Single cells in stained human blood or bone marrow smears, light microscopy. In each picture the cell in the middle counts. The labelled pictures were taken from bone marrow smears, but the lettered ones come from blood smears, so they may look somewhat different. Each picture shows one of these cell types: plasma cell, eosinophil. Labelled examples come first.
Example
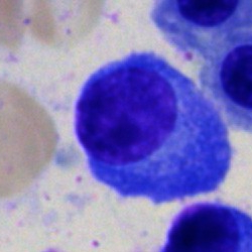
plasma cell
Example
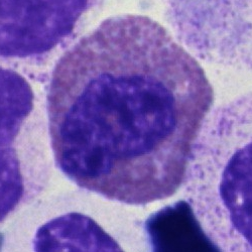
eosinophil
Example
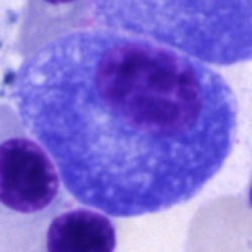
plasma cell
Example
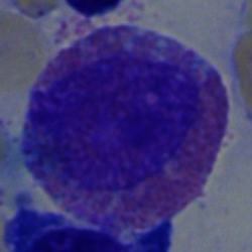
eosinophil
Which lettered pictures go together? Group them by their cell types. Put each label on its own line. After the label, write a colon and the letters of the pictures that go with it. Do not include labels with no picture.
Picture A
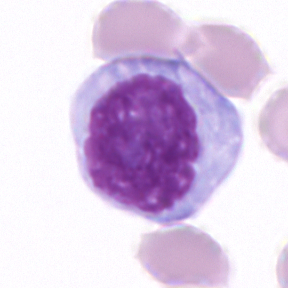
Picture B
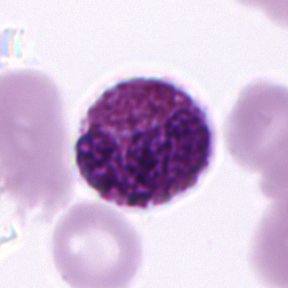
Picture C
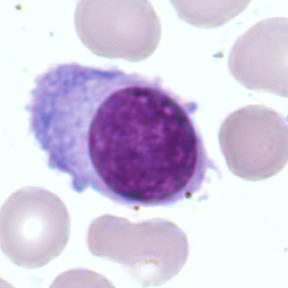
plasma cell: A, C
eosinophil: B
